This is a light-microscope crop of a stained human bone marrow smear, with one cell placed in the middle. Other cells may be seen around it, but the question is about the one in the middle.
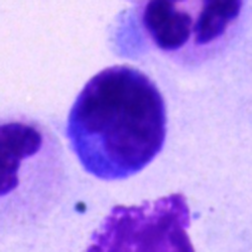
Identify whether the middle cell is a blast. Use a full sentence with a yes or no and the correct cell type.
No, the central cell in this crop is a lymphocyte and not a blast.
